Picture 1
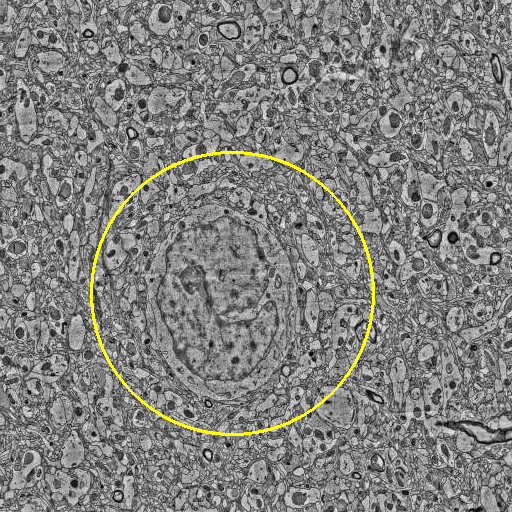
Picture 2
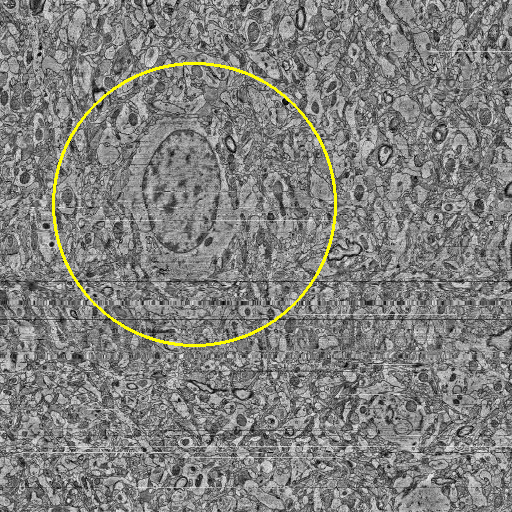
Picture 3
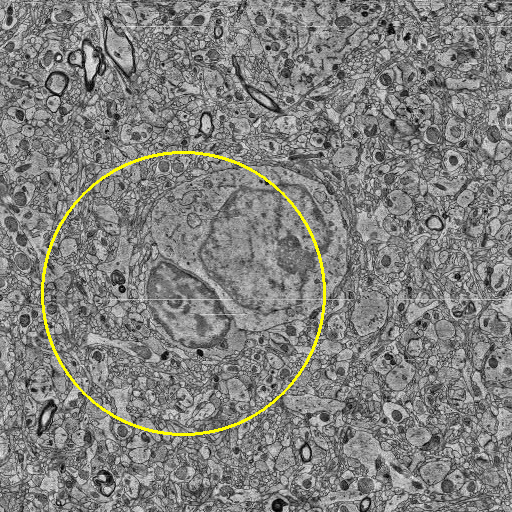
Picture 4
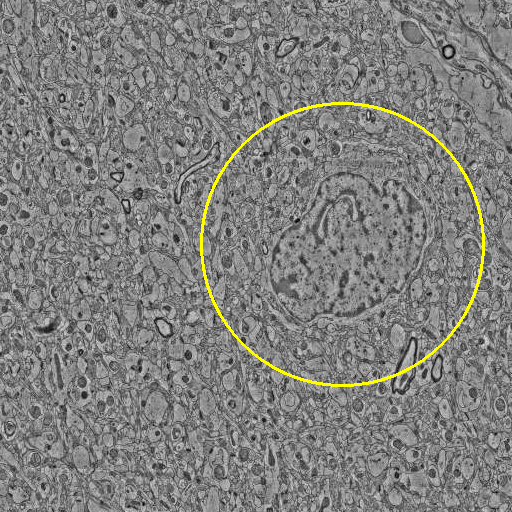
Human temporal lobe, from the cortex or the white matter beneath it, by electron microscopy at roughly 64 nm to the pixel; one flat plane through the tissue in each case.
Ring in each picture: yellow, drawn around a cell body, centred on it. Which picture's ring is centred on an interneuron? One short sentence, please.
Picture 1 is the one.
